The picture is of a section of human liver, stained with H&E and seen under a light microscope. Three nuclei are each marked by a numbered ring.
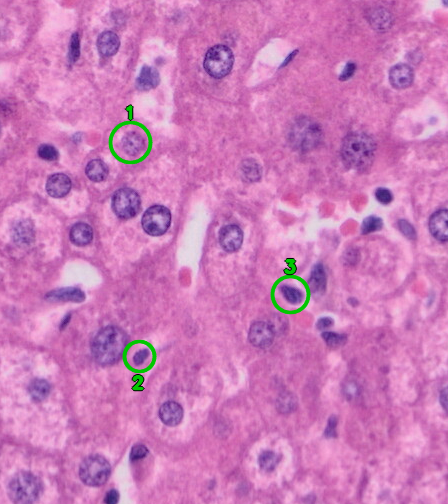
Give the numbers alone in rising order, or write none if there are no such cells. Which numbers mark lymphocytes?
2, 3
